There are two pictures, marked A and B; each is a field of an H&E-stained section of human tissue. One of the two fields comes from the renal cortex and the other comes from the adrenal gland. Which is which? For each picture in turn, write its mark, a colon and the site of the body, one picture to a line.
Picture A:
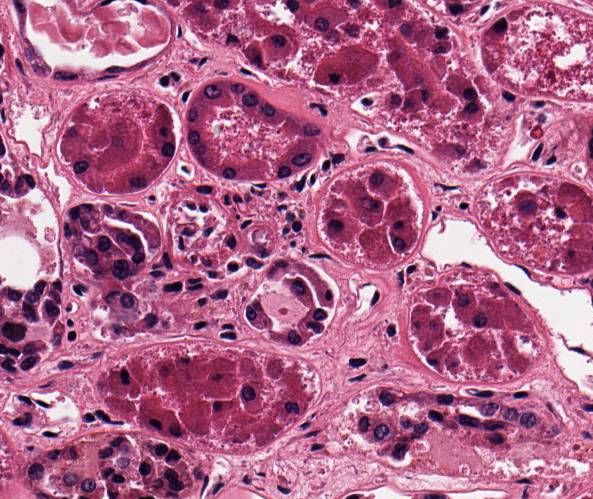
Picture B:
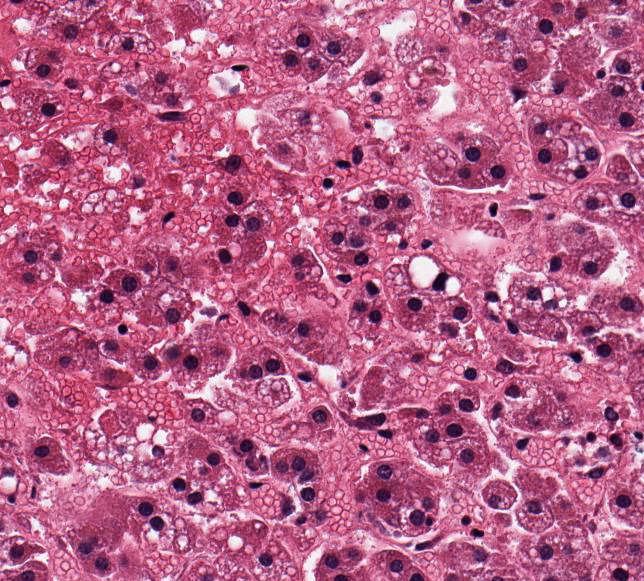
A: renal cortex
B: adrenal gland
